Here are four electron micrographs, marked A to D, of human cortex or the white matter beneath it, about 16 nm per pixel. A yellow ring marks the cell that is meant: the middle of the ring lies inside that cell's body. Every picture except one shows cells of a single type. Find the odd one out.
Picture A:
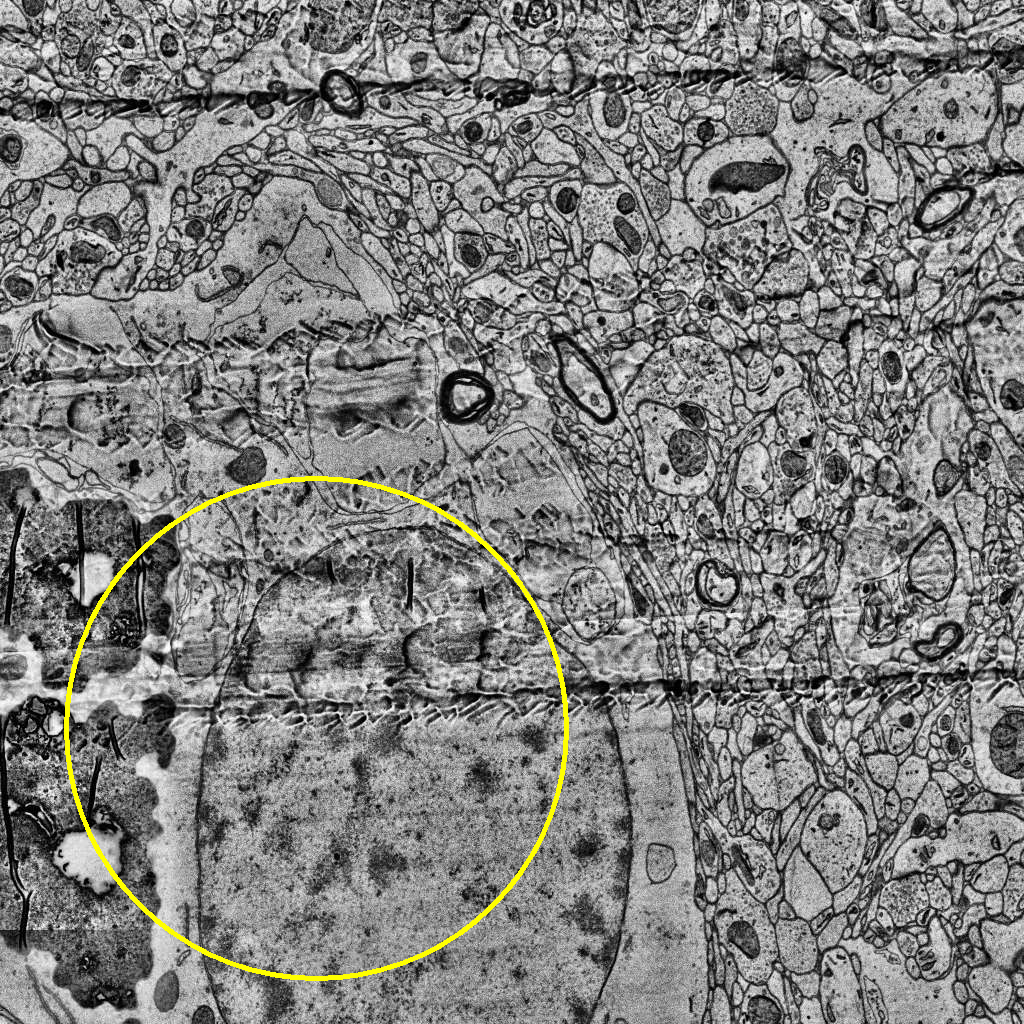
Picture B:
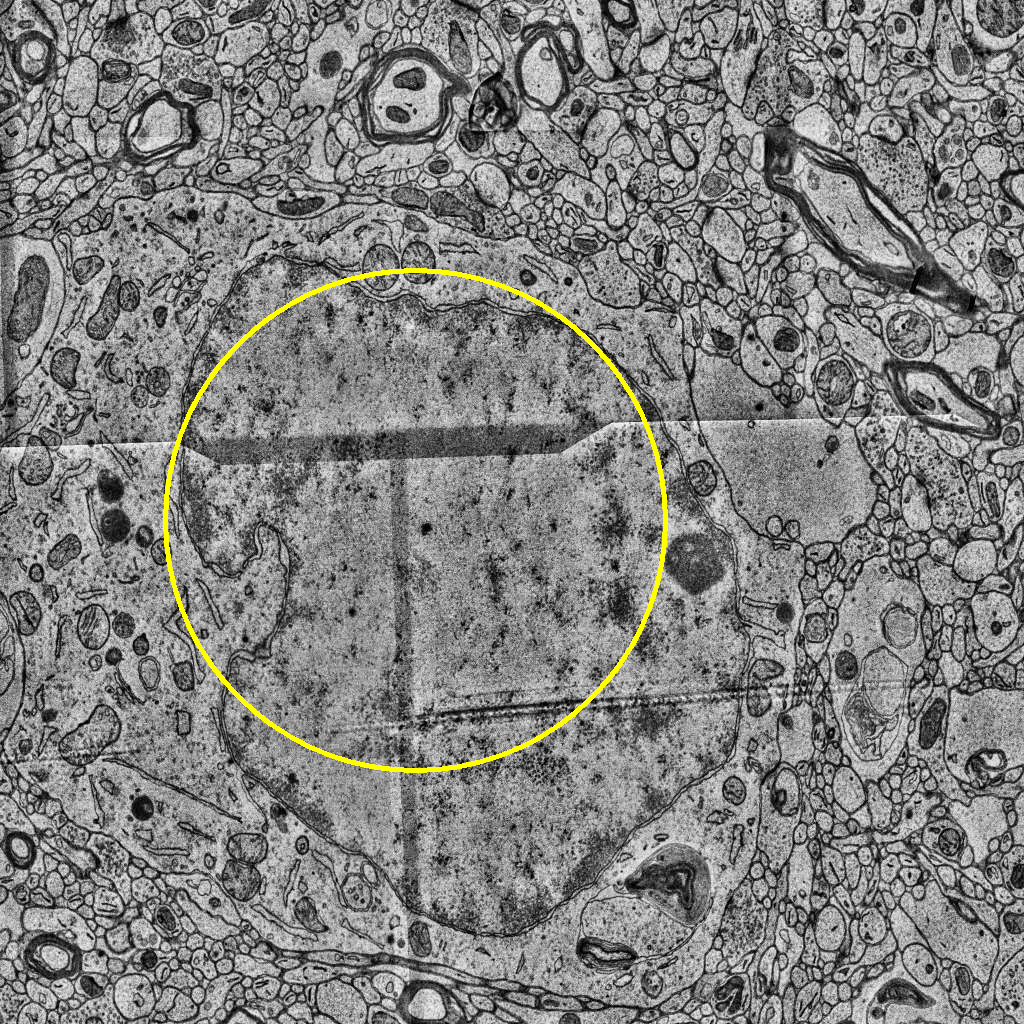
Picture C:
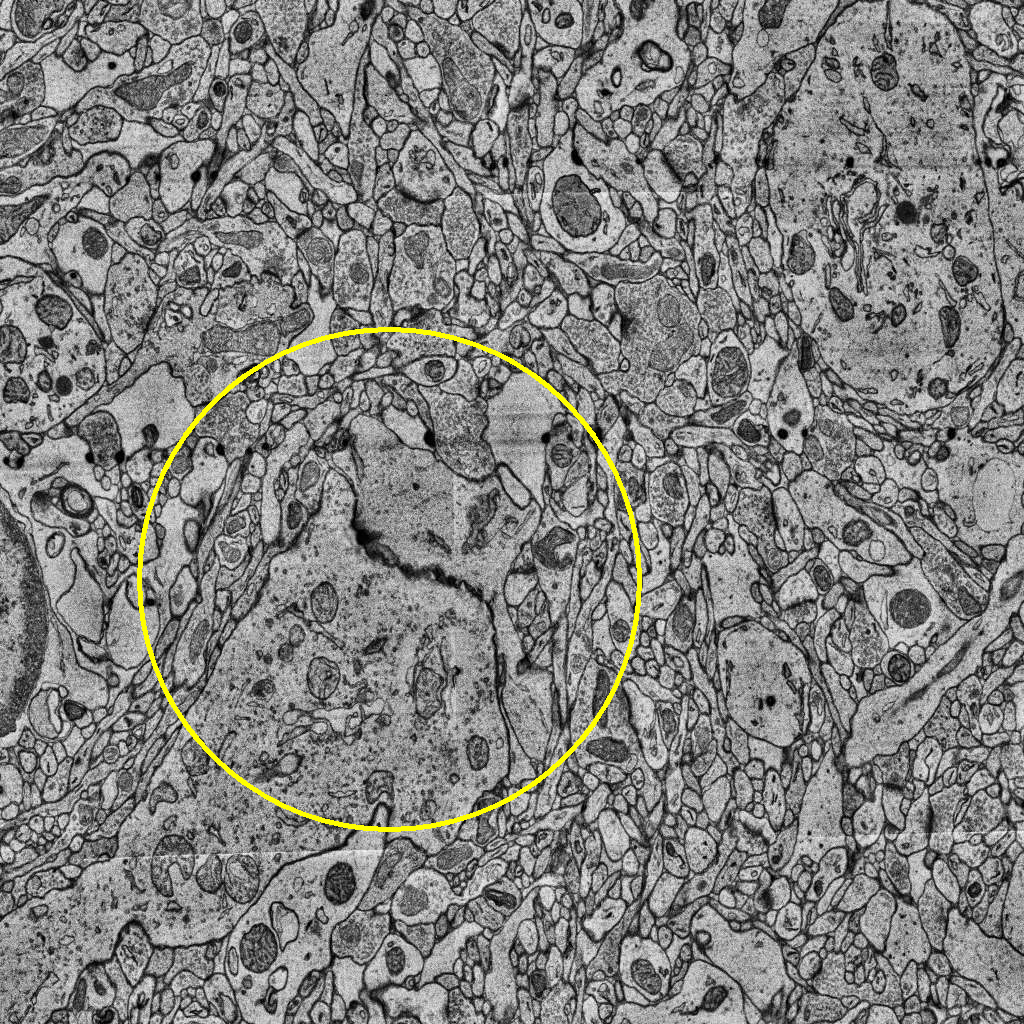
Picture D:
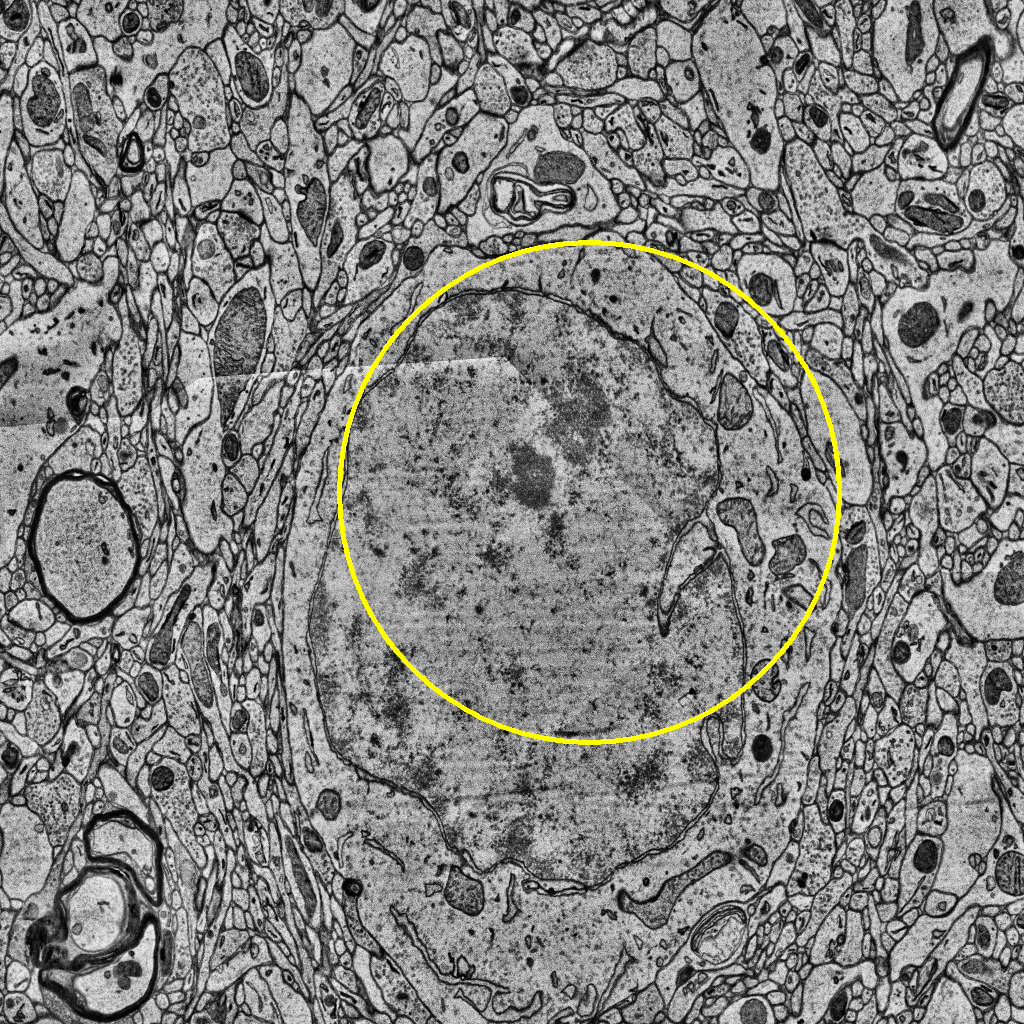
The different one is picture A; it shows an astrocyte, whereas all the others show interneurons.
